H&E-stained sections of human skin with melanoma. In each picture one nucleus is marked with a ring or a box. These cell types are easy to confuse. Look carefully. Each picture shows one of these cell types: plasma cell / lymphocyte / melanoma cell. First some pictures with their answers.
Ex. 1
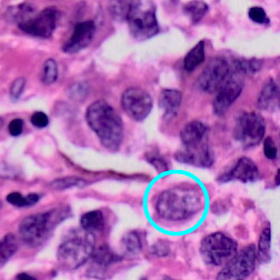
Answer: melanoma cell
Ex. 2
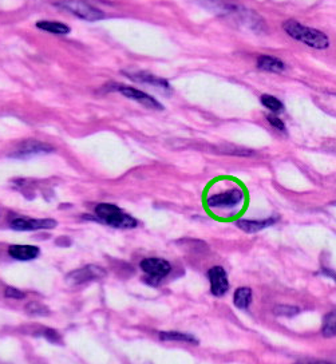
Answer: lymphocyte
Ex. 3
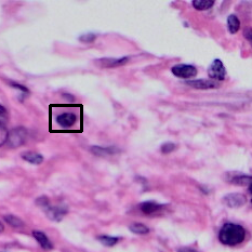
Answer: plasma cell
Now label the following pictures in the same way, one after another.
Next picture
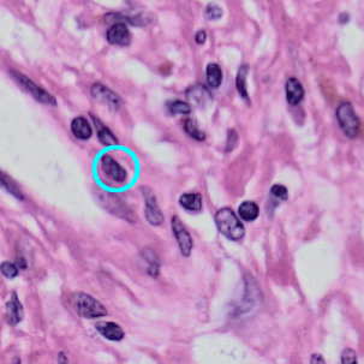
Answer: lymphocyte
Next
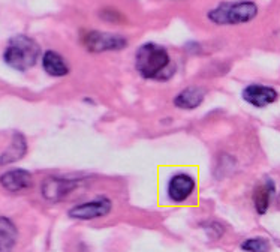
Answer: lymphocyte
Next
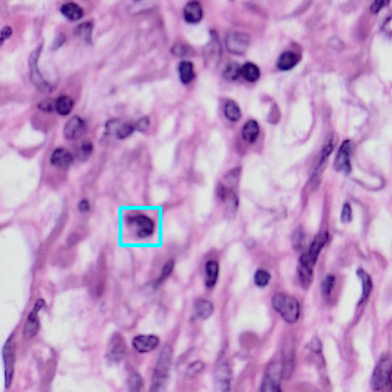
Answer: plasma cell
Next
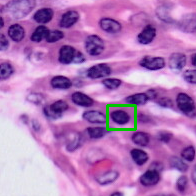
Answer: plasma cell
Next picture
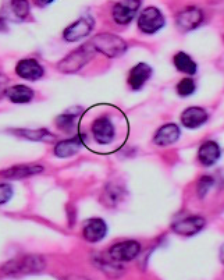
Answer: lymphocyte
